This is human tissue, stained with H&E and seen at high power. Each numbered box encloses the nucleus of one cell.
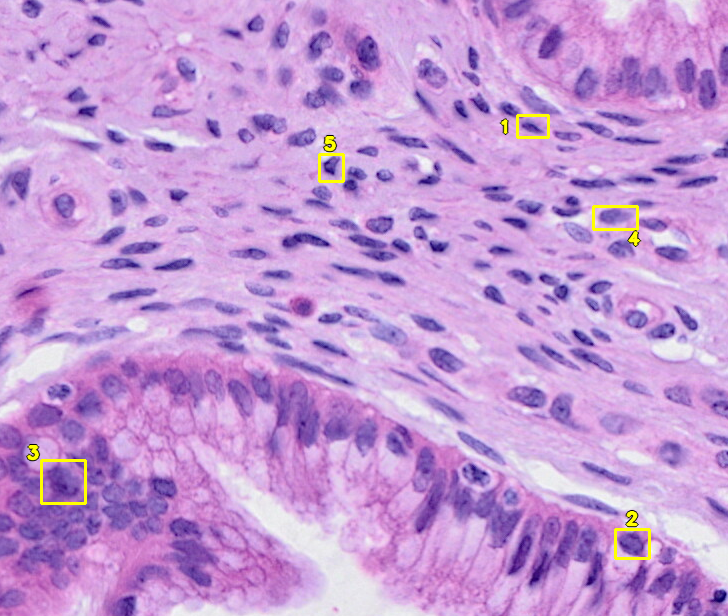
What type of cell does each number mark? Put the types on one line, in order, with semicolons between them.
fibroblast; secretory epithelial cell; secretory epithelial cell; fibroblast; fibroblast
